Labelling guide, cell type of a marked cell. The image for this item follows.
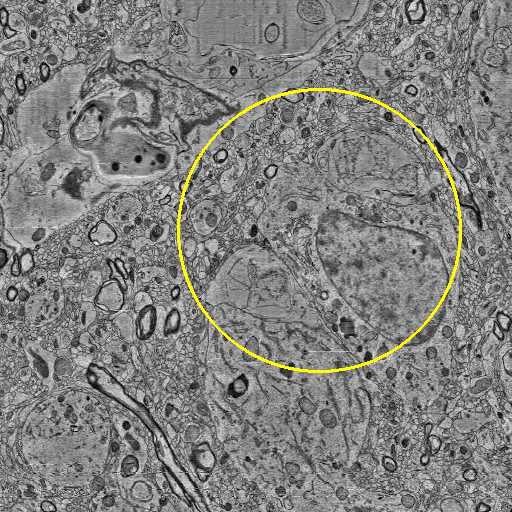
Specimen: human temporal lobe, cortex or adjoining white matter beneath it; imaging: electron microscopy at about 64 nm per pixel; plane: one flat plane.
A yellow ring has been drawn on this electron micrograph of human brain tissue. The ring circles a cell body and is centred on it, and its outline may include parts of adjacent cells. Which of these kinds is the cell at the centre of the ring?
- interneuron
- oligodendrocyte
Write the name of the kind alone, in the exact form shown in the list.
interneuron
